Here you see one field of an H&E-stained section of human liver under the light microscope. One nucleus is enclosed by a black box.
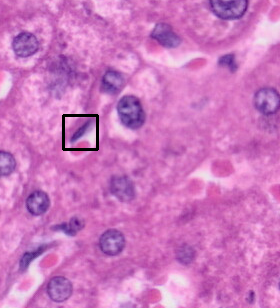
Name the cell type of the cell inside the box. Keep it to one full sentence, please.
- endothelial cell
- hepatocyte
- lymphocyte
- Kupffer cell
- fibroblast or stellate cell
Students should answer that the cell inside the box is an endothelial cell.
